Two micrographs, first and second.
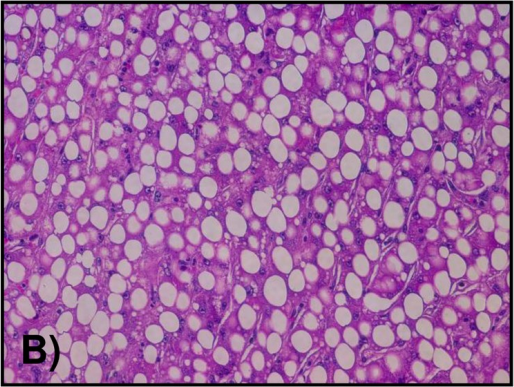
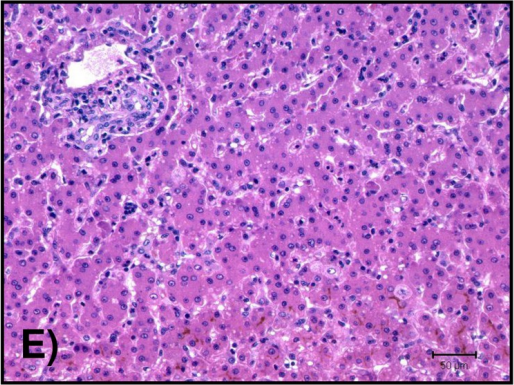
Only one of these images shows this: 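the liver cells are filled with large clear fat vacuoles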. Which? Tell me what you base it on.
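The first image. Second image: hepatocytes have uniform pink cytoplasm without clear vacuoles. First image: most of the field is taken up by round clear vacuoles.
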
